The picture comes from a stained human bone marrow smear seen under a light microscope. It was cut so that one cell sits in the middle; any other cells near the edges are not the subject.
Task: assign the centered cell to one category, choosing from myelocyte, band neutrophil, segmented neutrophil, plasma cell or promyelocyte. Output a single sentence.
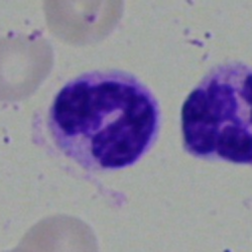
The cell found in the middle of this crop is a segmented neutrophil.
